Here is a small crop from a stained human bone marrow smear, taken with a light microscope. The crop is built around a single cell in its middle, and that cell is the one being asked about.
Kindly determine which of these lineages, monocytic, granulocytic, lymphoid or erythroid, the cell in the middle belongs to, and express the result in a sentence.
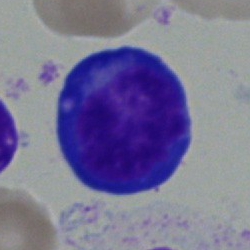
Lineage classification of the central cell is erythroid.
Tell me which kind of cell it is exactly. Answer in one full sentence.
Here the centrally located cell is a proerythroblast.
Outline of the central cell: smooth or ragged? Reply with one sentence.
The border of this cell runs smooth and free of any projections.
